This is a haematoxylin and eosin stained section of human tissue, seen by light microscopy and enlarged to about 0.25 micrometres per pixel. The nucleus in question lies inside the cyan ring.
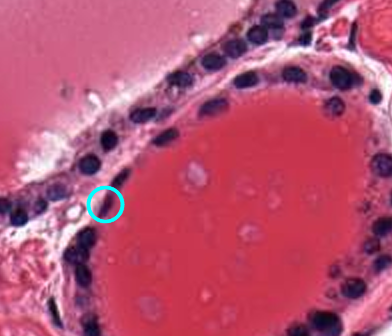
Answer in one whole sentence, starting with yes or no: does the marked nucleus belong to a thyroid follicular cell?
Yes, the marked nucleus is housed in a thyroid follicular cell.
